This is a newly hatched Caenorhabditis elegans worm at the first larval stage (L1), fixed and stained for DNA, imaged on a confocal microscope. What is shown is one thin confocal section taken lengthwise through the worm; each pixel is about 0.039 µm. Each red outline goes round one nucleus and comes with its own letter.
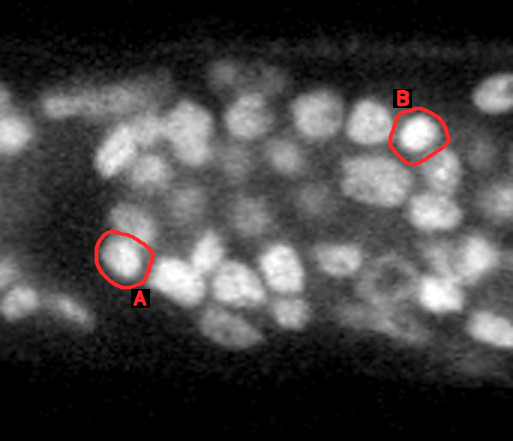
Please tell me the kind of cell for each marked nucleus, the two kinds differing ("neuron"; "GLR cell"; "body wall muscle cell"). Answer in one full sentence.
A belongs to a GLR cell and B to a neuron.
